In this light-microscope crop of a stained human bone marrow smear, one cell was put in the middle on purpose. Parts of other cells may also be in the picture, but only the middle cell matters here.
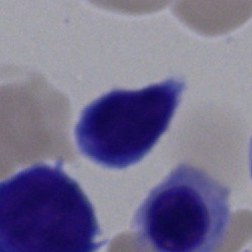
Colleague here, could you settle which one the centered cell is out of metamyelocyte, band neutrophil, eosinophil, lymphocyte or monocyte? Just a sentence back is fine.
The cell found in the middle of this crop is a lymphocyte.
